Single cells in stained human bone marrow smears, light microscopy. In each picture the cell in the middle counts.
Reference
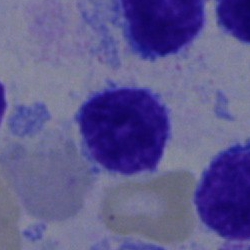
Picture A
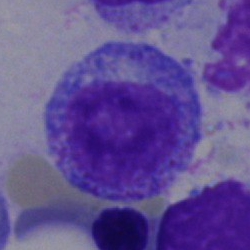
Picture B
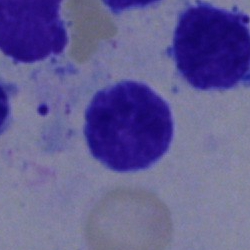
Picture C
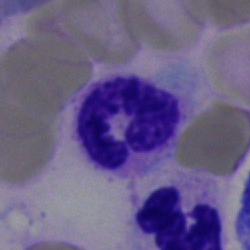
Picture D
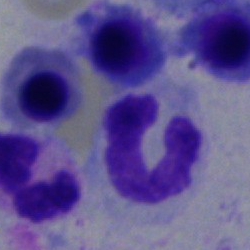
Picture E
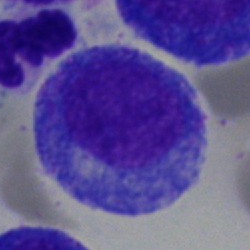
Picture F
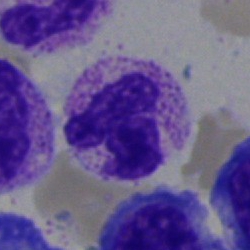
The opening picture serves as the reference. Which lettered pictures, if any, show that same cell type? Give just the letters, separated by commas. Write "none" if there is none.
B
